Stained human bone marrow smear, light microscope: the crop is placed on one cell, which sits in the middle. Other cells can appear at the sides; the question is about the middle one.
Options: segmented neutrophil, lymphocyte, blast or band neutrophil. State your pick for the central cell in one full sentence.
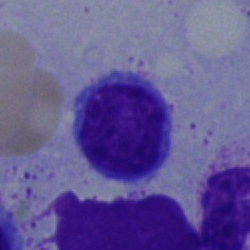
The cell around which this crop is centred is a lymphocyte.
